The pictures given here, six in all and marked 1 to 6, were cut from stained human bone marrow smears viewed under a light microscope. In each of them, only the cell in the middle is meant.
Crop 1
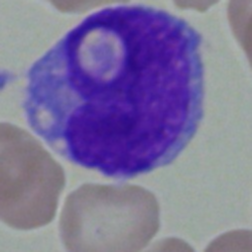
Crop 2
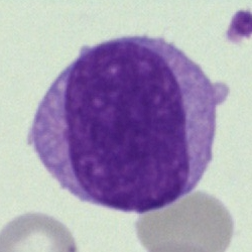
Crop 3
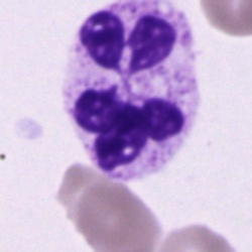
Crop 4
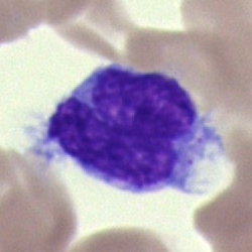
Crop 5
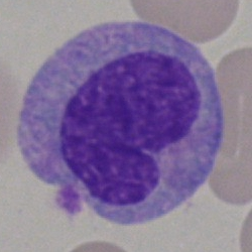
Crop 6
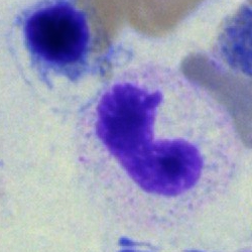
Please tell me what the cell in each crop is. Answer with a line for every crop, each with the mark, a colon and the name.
1: monocyte
2: blast
3: segmented neutrophil
4: monocyte
5: monocyte
6: segmented neutrophil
